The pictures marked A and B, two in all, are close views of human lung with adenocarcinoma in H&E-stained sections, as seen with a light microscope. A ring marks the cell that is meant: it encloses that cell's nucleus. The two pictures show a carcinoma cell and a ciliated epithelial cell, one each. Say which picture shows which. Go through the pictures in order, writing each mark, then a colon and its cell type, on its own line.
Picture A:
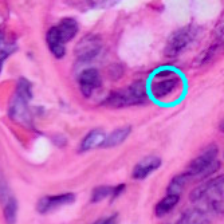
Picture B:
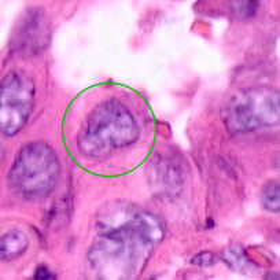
A: ciliated epithelial cell
B: carcinoma cell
